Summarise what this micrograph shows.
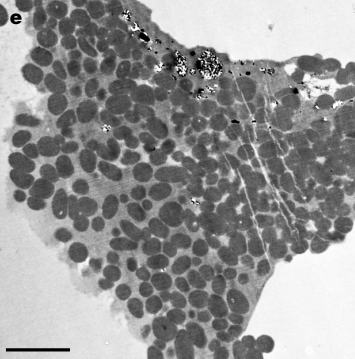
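The cell fragment has an irregular outline against a pale background. Its interior is filled with many dense, dark grey bodies, round to oval in section, of fairly uniform size, some slightly elongate. They lie closely packed, often touching, in a lighter grey matrix, with the packing somewhat looser towards one edge. A few faint lines cross the matrix, and several small bright irregular fragments lie near the upper margin. No nucleus or other cell parts can be made out among the bodies.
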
